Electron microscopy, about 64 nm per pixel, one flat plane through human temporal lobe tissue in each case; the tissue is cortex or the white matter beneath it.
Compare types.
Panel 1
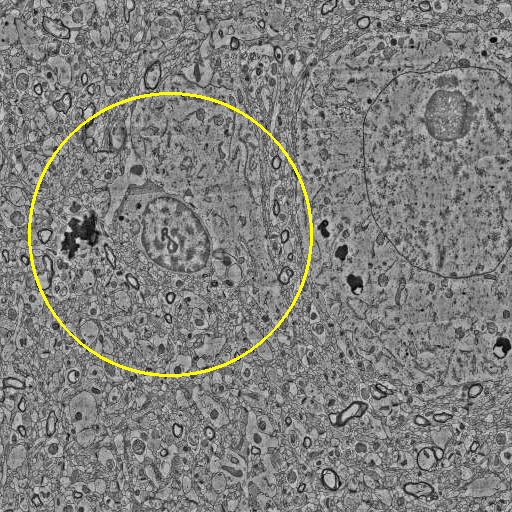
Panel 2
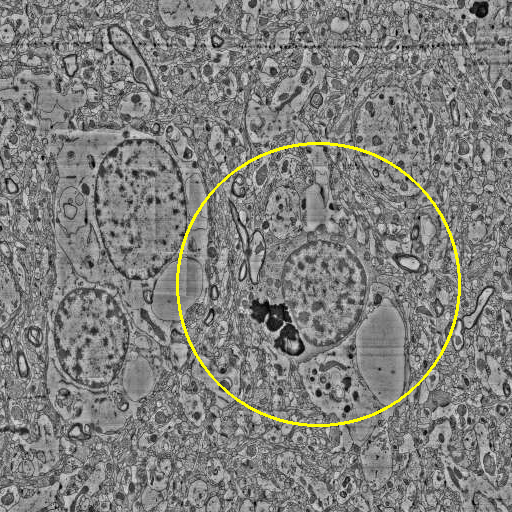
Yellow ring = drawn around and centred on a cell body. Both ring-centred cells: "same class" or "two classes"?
same class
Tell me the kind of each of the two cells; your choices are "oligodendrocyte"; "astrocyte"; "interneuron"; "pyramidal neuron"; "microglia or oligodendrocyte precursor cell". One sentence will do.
Both pictures show an oligodendrocyte at the centre of the ring.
